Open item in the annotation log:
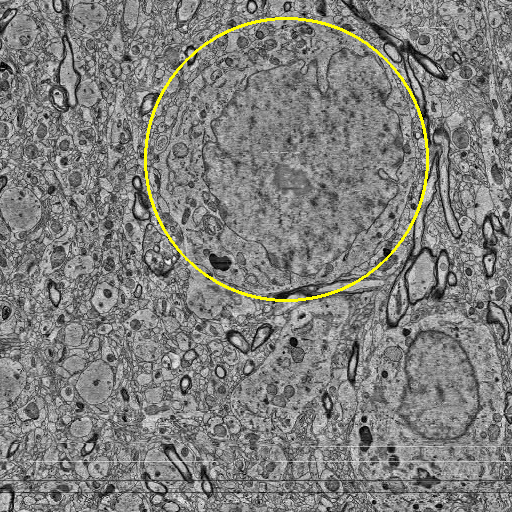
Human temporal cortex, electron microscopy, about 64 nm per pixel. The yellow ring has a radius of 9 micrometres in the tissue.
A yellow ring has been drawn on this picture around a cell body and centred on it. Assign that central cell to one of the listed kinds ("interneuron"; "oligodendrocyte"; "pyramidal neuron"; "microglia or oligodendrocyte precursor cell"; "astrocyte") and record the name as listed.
interneuron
